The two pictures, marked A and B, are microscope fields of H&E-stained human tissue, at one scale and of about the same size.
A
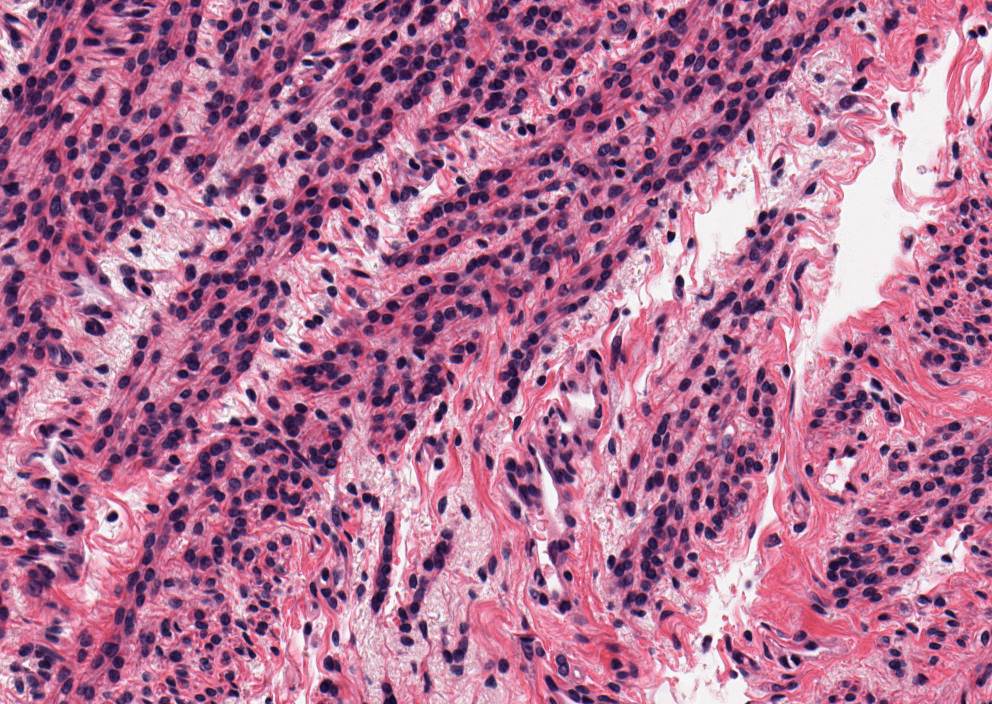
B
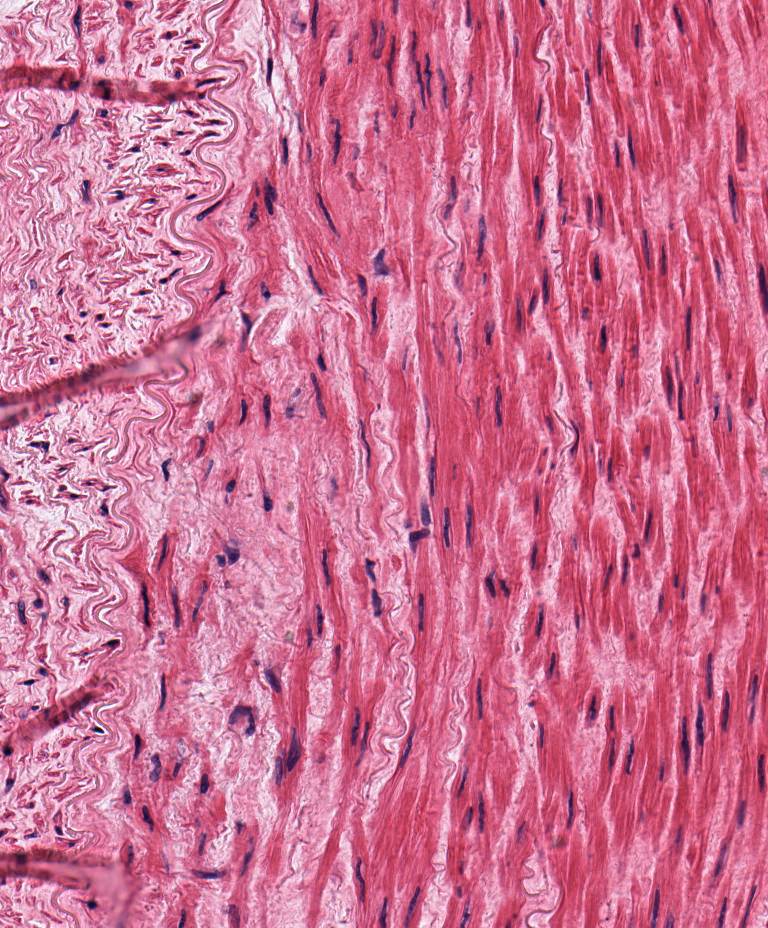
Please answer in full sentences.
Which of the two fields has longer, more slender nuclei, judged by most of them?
It is picture B whose nuclei are the more elongated.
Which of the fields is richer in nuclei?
The larger number of nuclei is in picture A.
